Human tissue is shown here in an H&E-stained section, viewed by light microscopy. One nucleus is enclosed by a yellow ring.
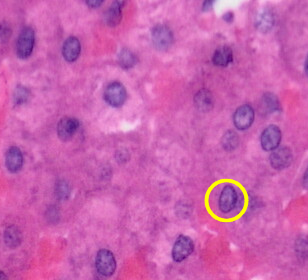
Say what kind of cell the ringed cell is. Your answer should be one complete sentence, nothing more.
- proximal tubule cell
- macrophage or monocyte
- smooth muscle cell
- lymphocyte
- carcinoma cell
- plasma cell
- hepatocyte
It is as a hepatocyte that the ringed cell is recorded.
